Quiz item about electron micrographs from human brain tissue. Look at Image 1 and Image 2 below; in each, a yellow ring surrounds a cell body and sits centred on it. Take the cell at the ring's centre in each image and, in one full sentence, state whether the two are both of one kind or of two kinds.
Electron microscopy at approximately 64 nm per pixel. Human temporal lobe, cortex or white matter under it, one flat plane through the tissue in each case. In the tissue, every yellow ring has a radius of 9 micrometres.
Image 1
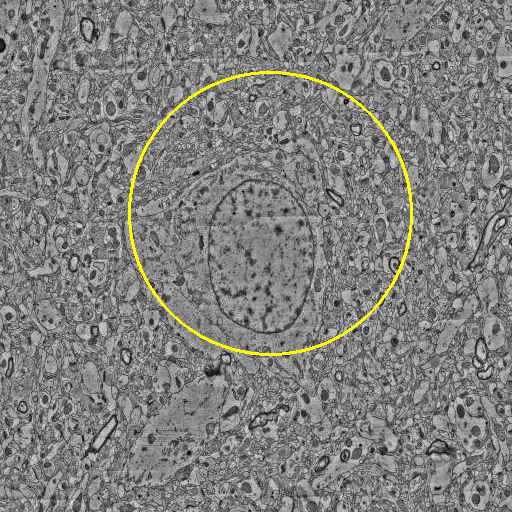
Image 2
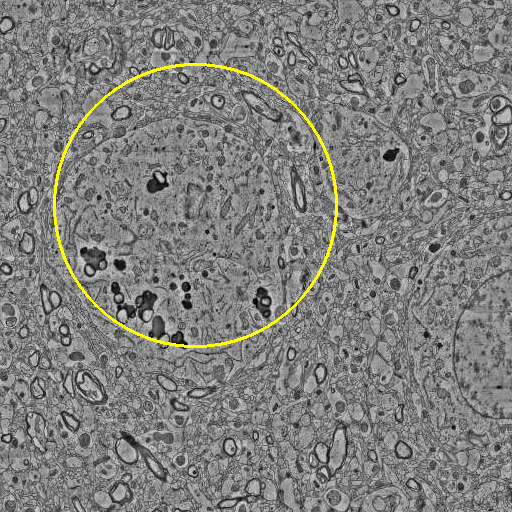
In Image 1 and Image 2, the cells at the ring centres are both of one kind.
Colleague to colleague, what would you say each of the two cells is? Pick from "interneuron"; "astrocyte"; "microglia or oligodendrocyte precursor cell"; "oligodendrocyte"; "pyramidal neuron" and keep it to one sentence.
The second cell is a pyramidal neuron, just as the first is.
